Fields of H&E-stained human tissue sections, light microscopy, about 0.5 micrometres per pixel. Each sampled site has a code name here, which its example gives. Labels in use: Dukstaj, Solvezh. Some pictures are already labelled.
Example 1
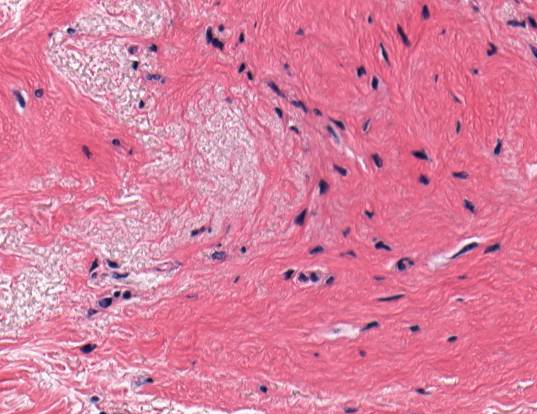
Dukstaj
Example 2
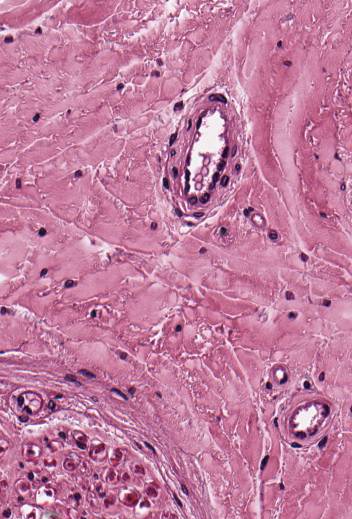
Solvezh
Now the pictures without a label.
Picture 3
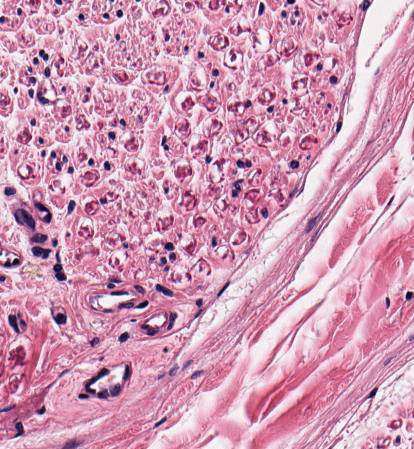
Solvezh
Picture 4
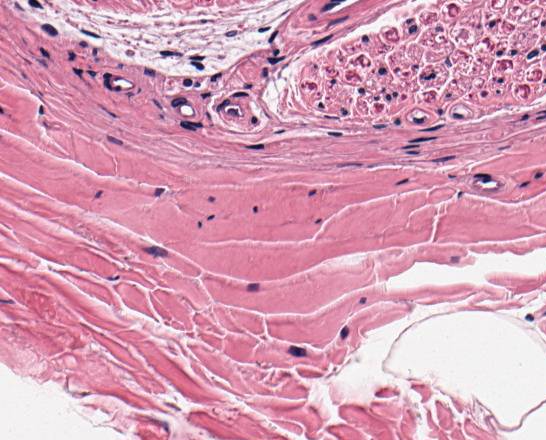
Solvezh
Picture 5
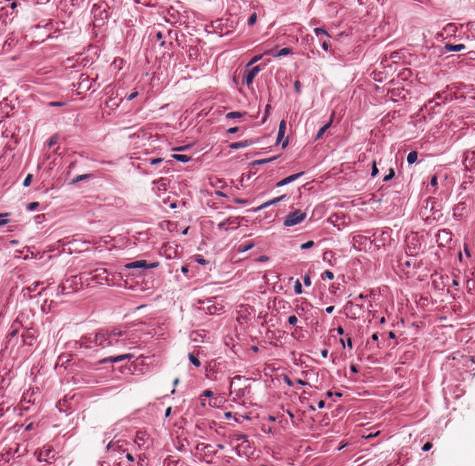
Solvezh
